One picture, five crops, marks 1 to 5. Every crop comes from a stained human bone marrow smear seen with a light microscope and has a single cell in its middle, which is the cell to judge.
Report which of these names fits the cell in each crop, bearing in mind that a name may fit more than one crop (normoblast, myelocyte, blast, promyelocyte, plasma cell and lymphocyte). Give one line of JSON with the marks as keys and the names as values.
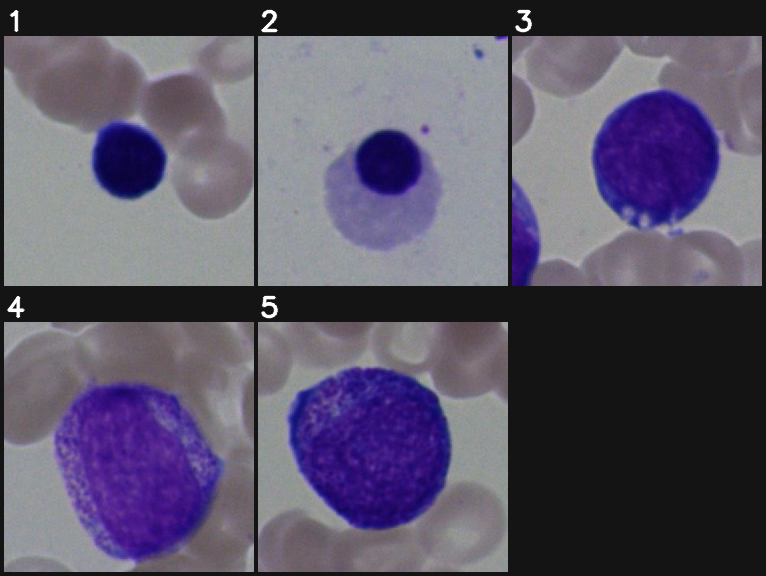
{"1": "lymphocyte", "2": "normoblast", "3": "blast", "4": "myelocyte", "5": "promyelocyte"}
